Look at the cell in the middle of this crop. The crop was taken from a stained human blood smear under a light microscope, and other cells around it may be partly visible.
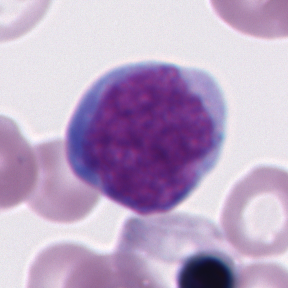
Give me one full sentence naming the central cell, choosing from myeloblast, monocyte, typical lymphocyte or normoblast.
In the center of this field lies a myeloblast.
